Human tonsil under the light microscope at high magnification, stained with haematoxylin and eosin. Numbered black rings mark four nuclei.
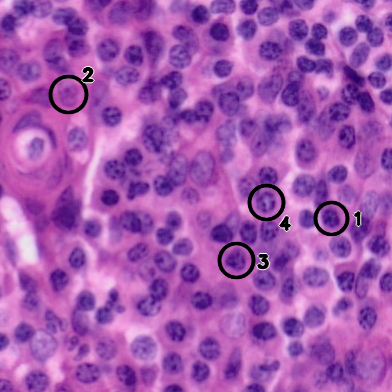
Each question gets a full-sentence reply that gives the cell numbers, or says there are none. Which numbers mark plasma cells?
The cells the numbers 1, 3 and 4 point to are plasma cells.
